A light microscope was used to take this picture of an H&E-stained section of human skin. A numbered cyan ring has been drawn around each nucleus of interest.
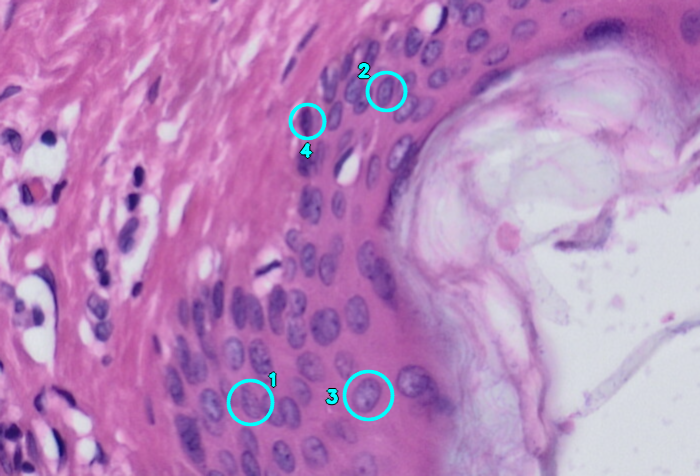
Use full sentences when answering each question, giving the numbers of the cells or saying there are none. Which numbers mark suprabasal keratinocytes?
Cells 1, 2 and 3 share one type; they are suprabasal keratinocytes.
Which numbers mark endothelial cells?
Across all the numbered cells, endothelial cells are absent.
